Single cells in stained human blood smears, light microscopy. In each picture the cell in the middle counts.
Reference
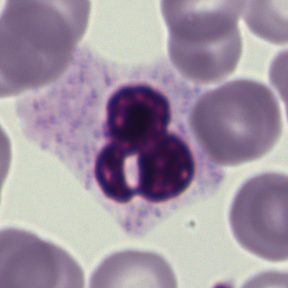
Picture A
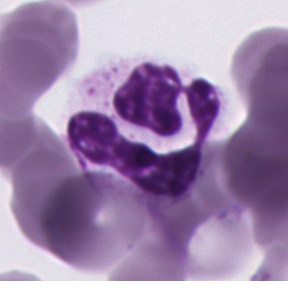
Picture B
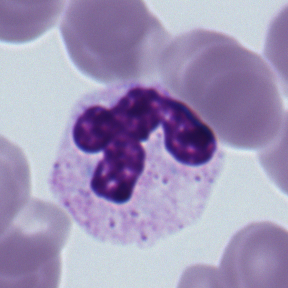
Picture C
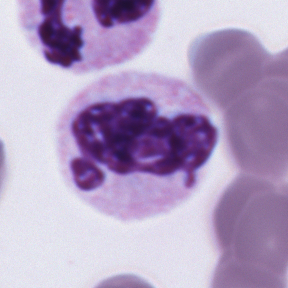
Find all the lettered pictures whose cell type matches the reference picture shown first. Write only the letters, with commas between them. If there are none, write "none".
A, B, C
